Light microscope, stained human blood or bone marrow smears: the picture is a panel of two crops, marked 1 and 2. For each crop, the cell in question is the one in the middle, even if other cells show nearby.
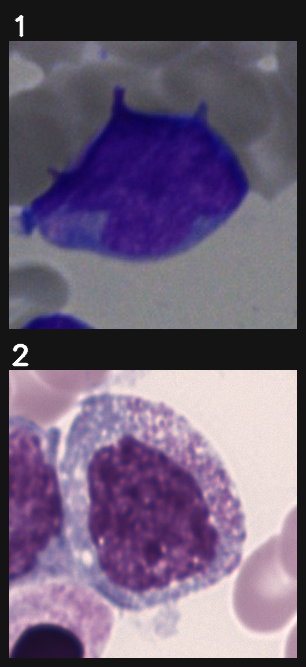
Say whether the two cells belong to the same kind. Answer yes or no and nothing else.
no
